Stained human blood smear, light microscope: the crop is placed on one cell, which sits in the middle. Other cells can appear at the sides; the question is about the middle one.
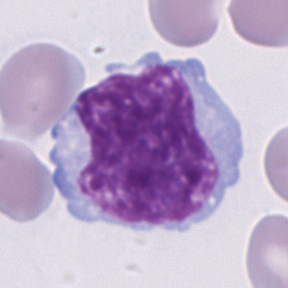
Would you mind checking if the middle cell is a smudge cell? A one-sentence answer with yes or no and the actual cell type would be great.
No, instead of being a smudge cell, the middle cell is a myeloblast.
